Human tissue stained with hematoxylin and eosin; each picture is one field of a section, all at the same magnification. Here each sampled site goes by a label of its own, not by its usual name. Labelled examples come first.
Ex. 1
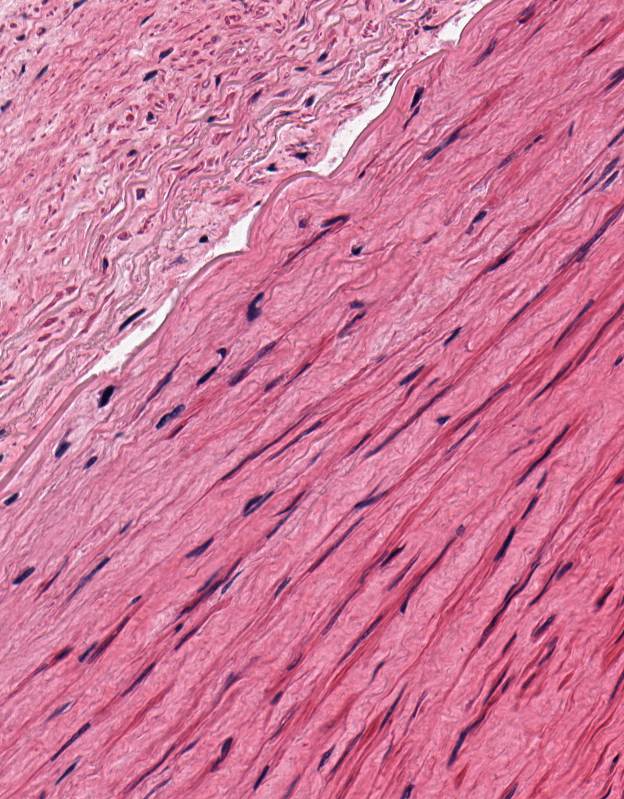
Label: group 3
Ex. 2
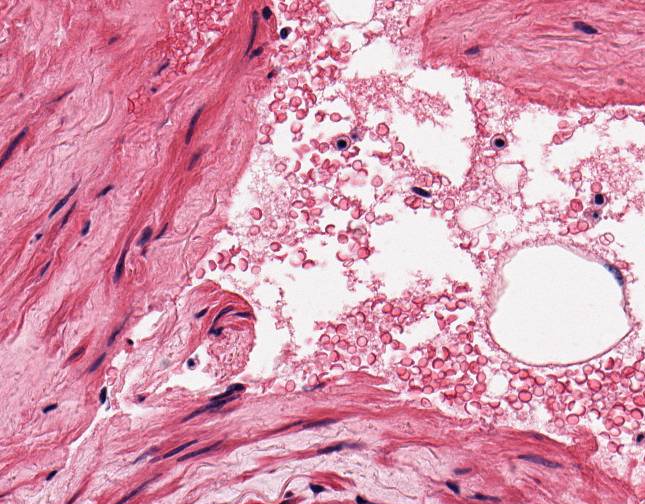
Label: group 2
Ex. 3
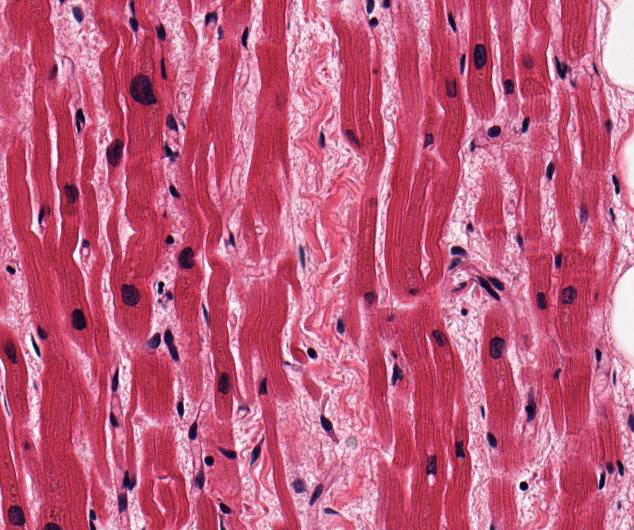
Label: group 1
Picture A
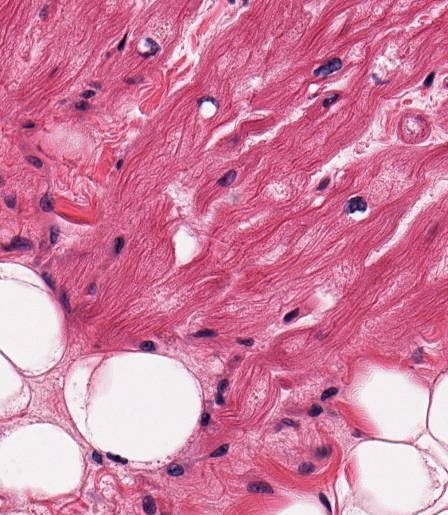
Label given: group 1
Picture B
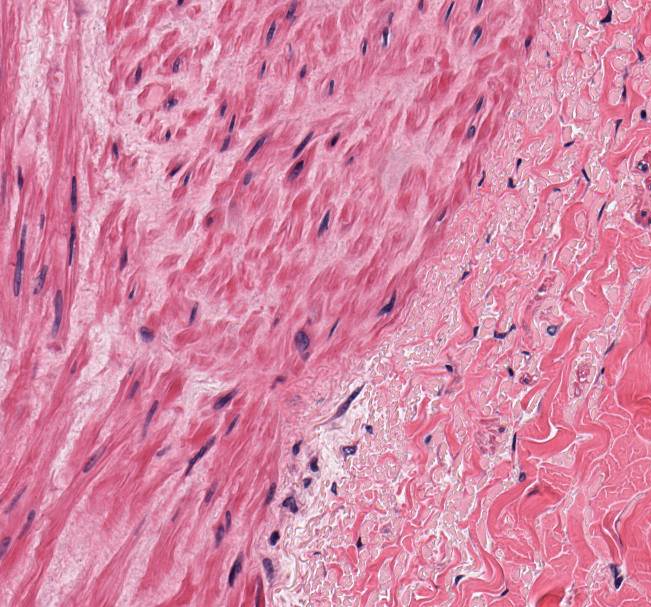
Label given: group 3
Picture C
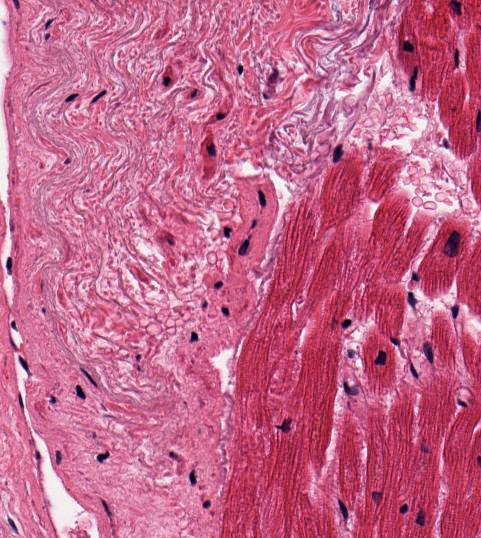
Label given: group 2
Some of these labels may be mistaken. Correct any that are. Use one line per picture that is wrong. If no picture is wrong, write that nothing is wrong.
Wrong: C (group 2); correct: group 1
